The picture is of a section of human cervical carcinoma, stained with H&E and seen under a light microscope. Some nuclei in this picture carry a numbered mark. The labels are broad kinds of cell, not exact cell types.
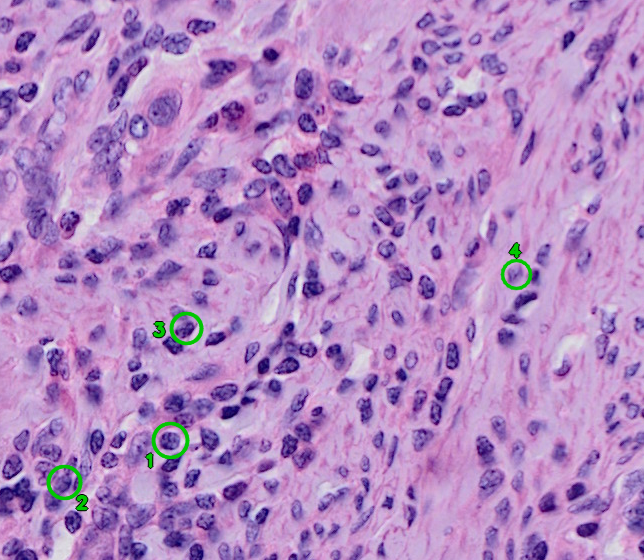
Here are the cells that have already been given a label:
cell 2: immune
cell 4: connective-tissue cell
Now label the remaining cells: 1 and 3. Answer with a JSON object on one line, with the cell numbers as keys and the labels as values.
{"1": "immune", "3": "immune"}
